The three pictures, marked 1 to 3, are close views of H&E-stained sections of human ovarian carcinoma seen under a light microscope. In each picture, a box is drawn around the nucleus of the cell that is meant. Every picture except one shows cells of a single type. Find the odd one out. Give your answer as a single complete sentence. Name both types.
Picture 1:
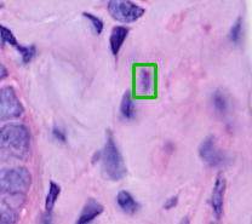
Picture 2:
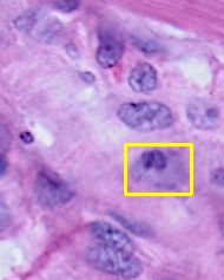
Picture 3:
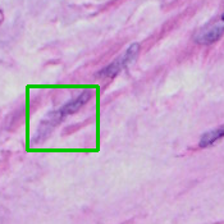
The different one is picture 1; it shows a smooth muscle cell, whereas all the others show fibroblasts.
